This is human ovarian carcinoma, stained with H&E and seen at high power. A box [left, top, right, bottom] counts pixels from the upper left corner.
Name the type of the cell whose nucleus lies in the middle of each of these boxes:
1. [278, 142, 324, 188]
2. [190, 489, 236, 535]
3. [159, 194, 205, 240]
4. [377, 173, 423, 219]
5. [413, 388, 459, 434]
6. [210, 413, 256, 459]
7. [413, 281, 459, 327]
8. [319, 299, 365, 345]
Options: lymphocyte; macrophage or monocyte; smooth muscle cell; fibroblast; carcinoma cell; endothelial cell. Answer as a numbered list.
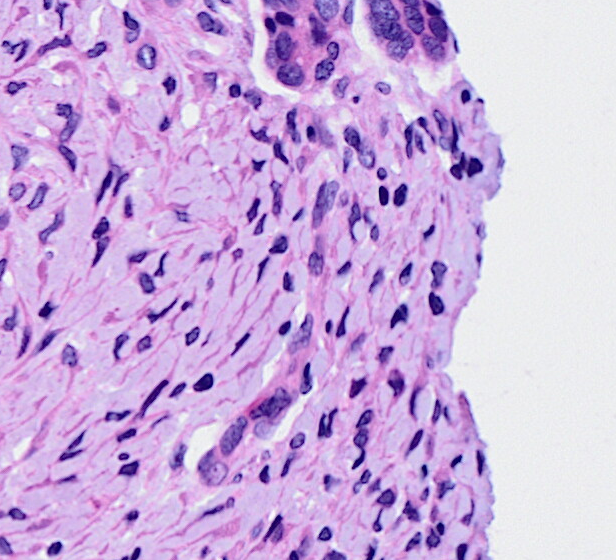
1. fibroblast
2. fibroblast
3. fibroblast
4. lymphocyte
5. fibroblast
6. endothelial cell
7. lymphocyte
8. fibroblast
